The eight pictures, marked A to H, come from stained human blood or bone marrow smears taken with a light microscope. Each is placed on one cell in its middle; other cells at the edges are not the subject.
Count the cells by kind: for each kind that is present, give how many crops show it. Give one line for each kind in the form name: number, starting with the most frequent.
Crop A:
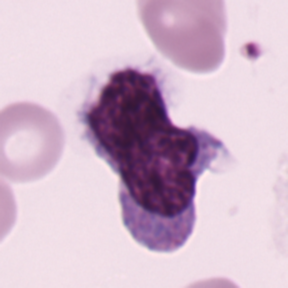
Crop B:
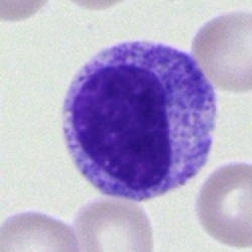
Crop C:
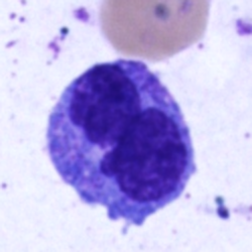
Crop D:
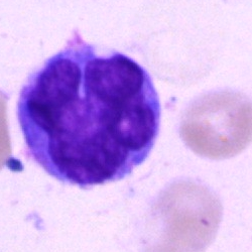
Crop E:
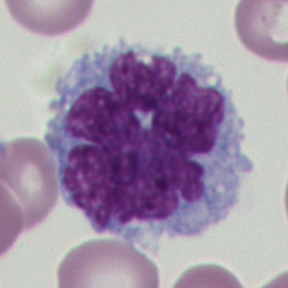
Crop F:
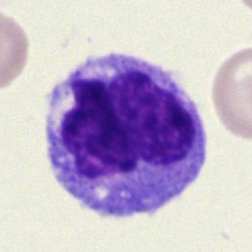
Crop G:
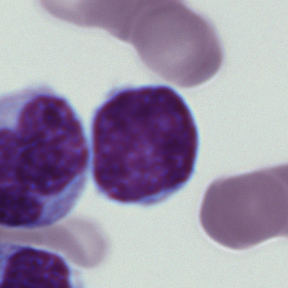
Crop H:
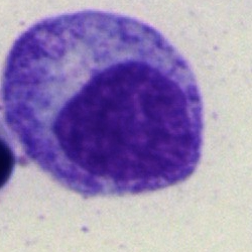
monocyte: 6
myelocyte: 2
